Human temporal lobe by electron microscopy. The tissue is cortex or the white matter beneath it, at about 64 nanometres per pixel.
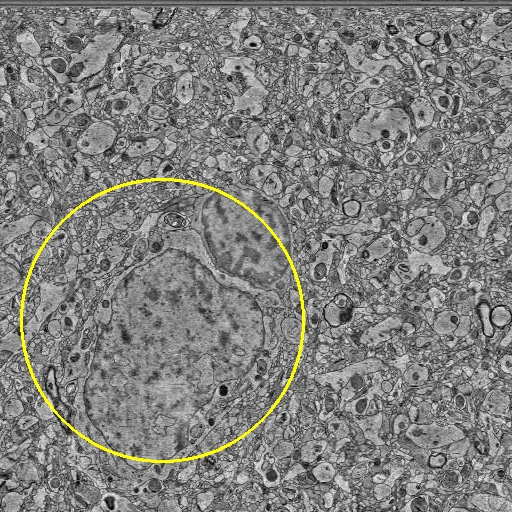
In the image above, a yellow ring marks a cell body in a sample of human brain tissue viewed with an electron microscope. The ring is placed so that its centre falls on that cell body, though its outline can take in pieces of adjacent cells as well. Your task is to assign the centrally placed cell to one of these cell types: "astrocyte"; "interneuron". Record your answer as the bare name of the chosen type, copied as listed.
interneuron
